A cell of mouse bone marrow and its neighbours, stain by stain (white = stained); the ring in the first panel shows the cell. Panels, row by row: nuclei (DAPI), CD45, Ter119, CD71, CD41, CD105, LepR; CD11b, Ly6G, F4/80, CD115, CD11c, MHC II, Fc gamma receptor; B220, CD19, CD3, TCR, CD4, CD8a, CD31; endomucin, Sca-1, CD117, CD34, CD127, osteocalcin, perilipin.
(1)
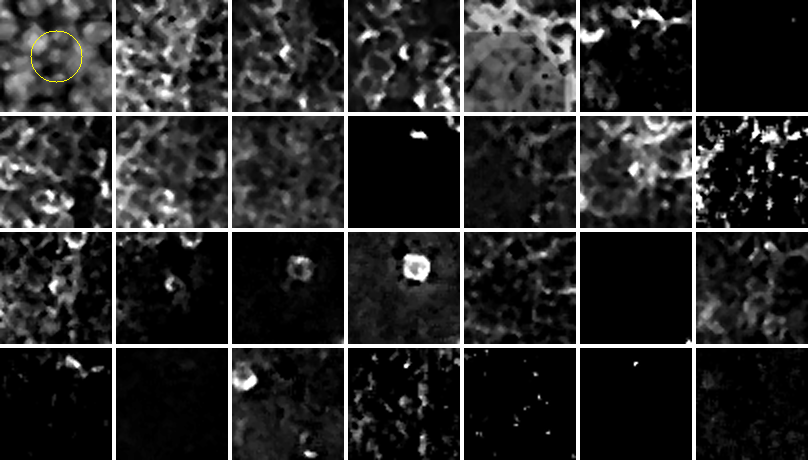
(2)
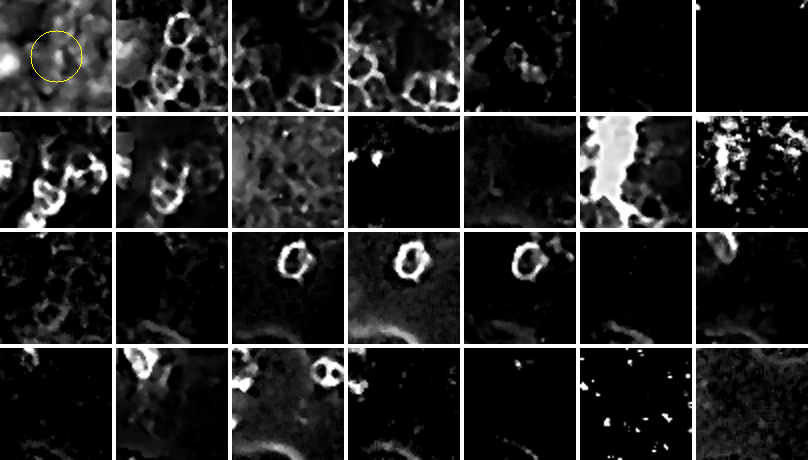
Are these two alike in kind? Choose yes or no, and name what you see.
Yes. Neutrophils.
